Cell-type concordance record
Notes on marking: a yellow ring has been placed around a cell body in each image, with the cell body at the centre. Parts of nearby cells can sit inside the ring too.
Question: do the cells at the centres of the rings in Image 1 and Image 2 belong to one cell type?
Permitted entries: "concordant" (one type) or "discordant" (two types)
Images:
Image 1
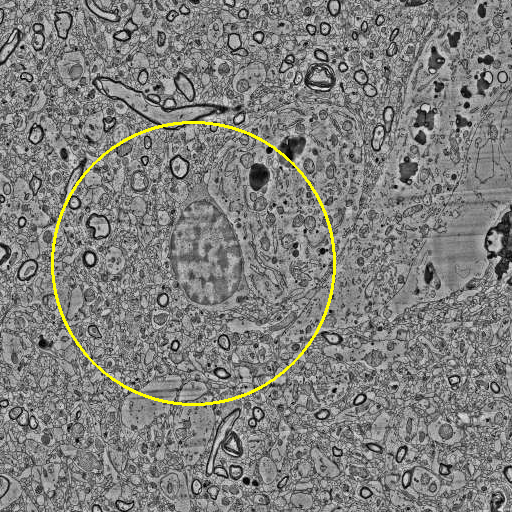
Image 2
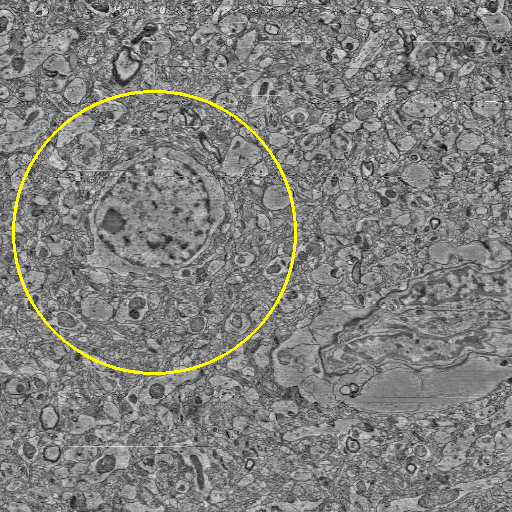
discordant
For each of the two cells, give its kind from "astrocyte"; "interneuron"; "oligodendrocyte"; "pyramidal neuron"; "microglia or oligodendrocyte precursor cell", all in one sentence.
The first picture has an oligodendrocyte in its ring, the second has a microglial cell or oligodendrocyte precursor cell.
